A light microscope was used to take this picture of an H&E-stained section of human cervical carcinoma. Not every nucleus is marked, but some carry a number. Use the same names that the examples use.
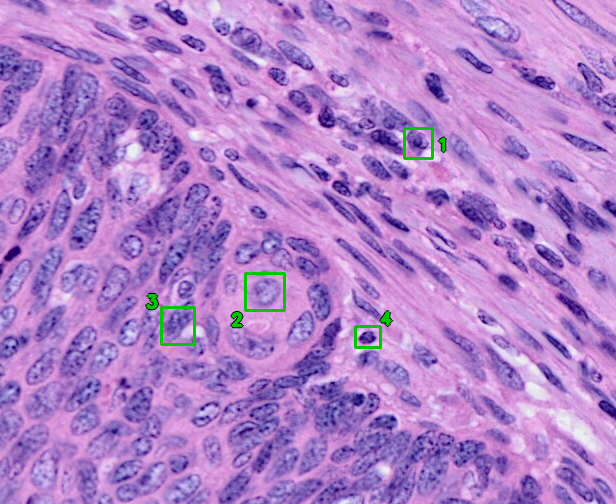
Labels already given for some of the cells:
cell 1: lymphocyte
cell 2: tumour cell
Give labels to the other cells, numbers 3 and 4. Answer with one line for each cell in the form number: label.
3: tumour cell
4: lymphocyte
